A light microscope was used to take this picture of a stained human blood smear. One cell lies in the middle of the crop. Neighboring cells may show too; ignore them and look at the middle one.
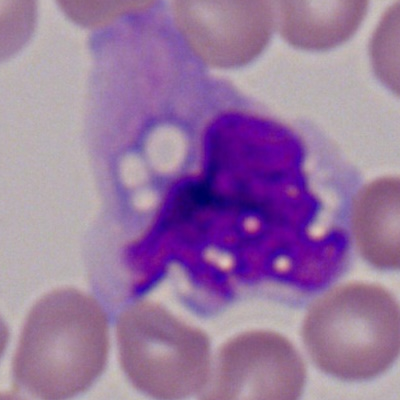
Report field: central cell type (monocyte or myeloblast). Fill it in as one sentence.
The cell nearest the centre of this crop is a monocyte.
